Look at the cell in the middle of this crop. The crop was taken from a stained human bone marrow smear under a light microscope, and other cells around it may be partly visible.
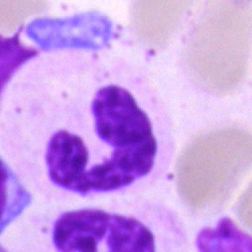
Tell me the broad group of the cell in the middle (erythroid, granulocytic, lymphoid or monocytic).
granulocytic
